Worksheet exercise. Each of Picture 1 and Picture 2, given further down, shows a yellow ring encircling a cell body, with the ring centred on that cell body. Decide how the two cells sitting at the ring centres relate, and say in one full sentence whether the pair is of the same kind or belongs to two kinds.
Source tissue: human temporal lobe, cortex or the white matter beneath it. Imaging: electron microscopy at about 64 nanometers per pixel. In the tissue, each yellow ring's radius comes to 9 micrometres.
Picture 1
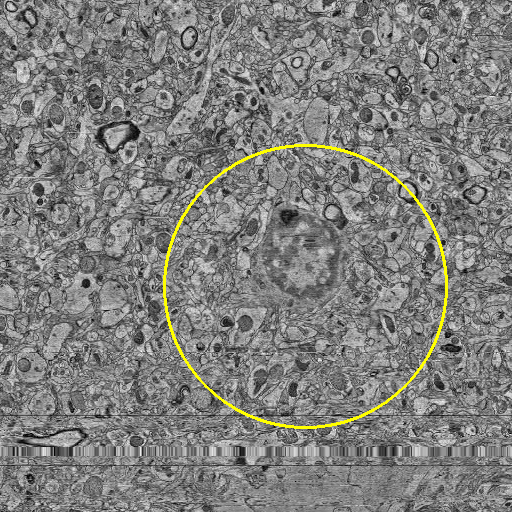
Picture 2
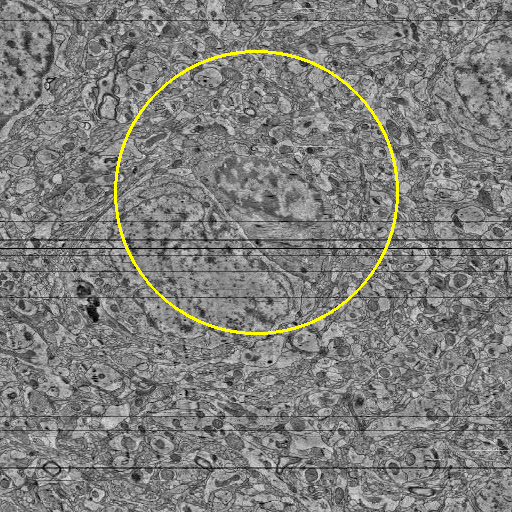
The cells at the ring centres in Picture 1 and Picture 2 are of the same kind.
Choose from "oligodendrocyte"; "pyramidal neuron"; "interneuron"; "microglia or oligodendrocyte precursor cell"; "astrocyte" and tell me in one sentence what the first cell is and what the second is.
The ring centre holds an oligodendrocyte in each of the two pictures.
